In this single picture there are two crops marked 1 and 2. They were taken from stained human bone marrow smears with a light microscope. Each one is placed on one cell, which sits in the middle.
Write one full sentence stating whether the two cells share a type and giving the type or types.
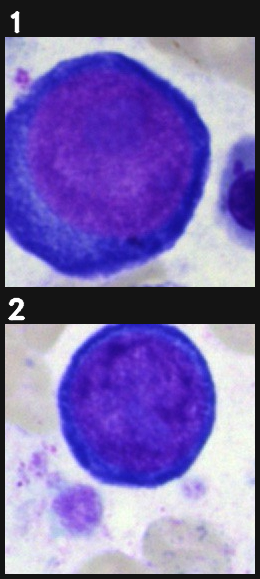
Yes, both crops here show proerythroblasts, the pair of them.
